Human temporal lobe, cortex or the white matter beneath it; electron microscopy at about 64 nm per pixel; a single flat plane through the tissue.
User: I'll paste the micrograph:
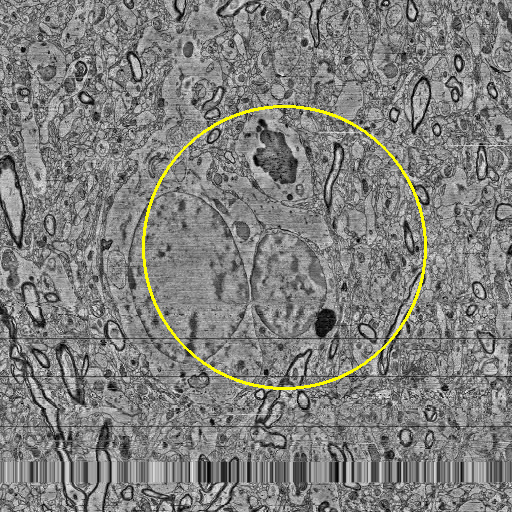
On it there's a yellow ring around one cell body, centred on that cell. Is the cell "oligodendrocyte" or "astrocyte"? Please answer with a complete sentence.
The cell ringed in yellow is an oligodendrocyte.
